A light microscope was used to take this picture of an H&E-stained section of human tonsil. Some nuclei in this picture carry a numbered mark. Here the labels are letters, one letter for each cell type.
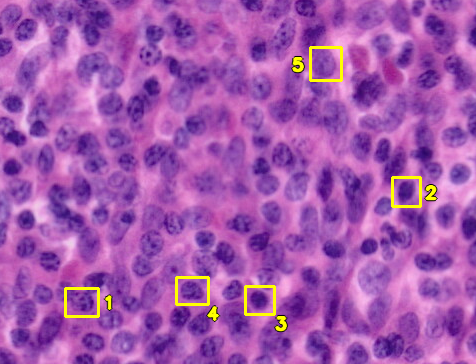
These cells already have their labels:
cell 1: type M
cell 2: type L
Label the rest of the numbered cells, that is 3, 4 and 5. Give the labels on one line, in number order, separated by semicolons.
type M; type M; type L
